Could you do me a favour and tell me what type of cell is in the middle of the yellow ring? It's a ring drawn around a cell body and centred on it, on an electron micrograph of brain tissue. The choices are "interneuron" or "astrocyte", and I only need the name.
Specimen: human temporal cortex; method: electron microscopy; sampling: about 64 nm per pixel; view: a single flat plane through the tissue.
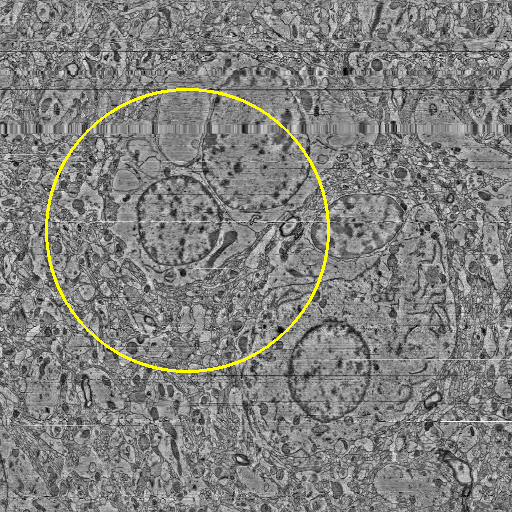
astrocyte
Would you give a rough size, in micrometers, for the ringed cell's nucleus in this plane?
Roughly 6 micrometers across in this plane.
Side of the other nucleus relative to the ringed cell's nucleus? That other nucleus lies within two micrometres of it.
The second nucleus lies to the upper right of it.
